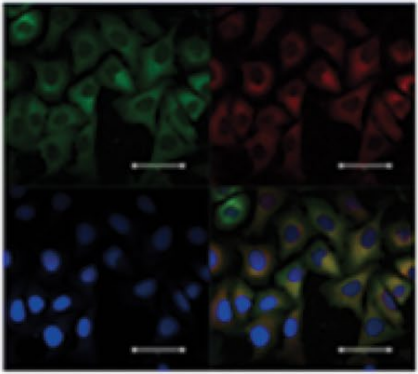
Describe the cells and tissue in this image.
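Adherent cultured cells shown as separate green, red and blue channels with a merged image. The cells are polygonal and closely packed, each with one oval blue nucleus. Both green and red fill the cytoplasm, with a brighter rim around the nucleus. In the merged image the cytoplasm appears yellow to orange where green and red overlap.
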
